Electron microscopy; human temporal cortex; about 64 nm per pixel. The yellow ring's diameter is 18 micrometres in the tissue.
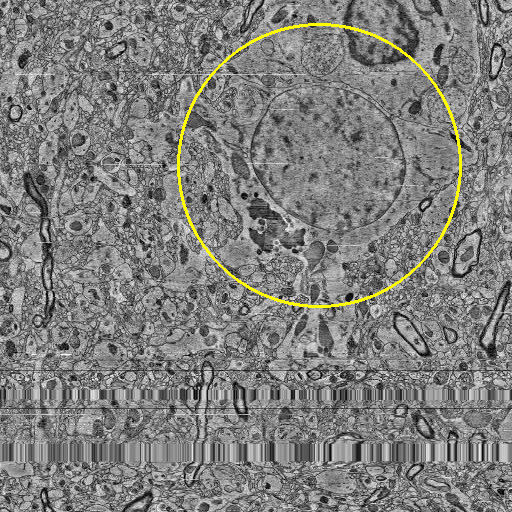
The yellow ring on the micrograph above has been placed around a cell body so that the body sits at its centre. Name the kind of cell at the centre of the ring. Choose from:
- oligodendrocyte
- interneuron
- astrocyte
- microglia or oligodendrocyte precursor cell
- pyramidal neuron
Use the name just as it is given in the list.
astrocyte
